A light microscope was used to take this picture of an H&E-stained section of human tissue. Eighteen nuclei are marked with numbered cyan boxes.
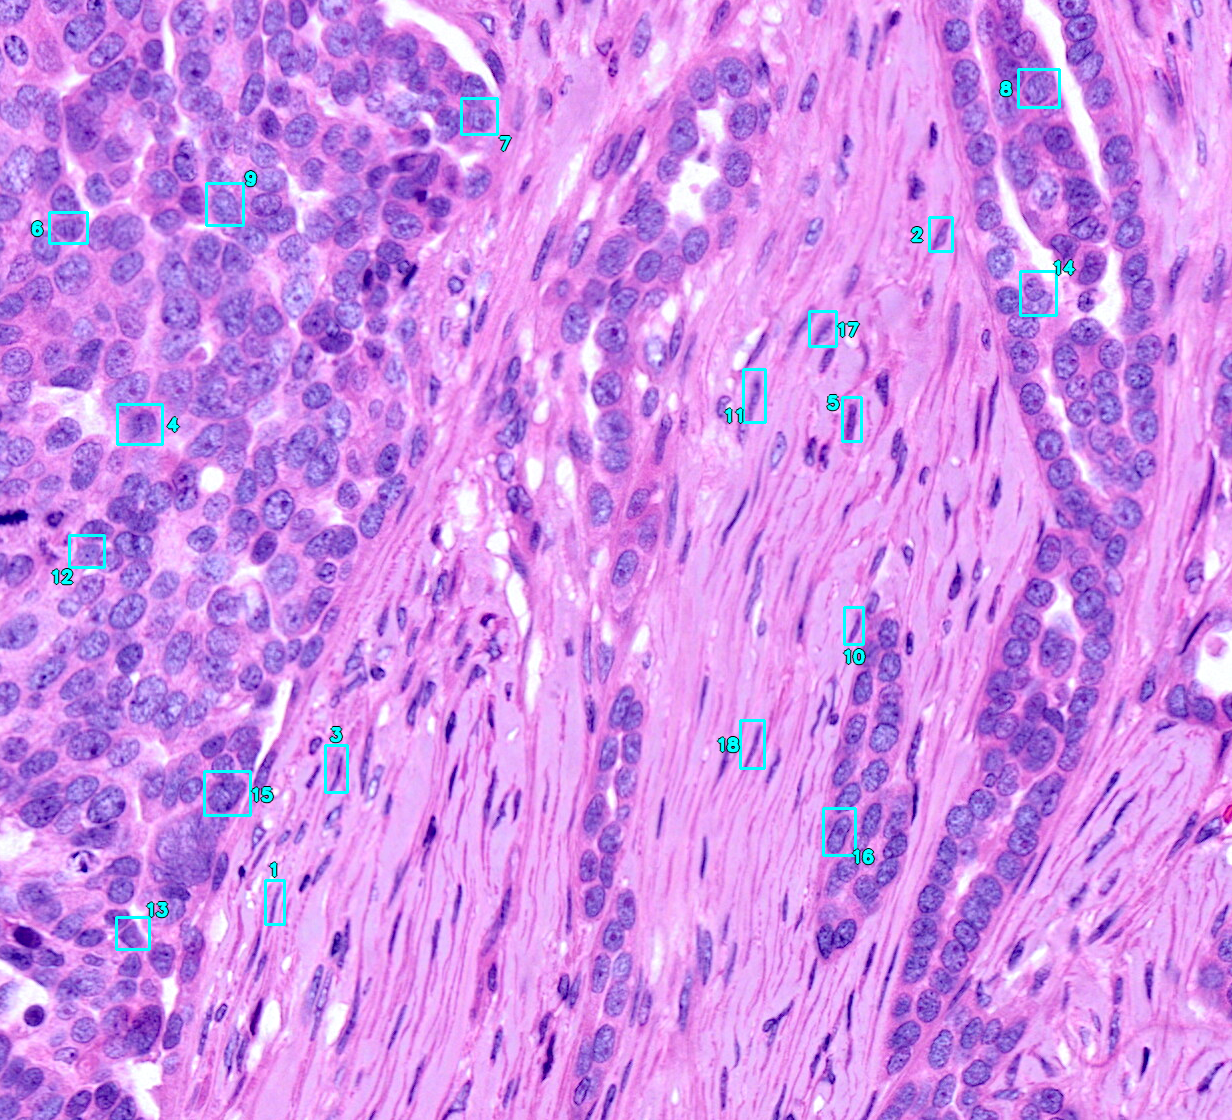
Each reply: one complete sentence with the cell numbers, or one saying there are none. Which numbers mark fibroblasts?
Cells 1, 2, 3, 5, 10, 11, 17 and 18 are recognised here as fibroblasts.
